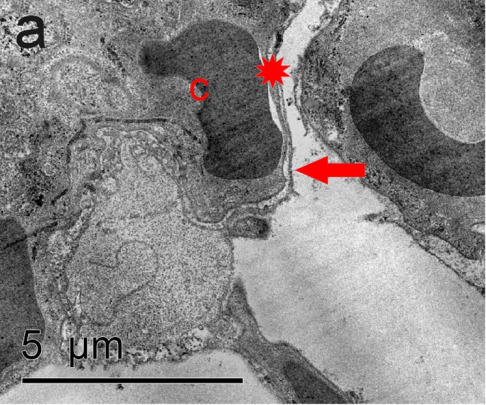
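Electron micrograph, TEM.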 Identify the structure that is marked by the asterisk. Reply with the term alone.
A: blood air barrier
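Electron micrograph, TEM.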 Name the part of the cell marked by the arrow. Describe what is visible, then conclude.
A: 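Type I pneumocyte processes. A very thin cytoplasmic sheet lines the air-space side of the barrier. The sheet faces the pale alveolar lumen.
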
